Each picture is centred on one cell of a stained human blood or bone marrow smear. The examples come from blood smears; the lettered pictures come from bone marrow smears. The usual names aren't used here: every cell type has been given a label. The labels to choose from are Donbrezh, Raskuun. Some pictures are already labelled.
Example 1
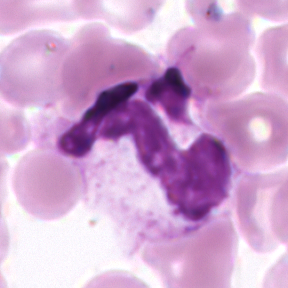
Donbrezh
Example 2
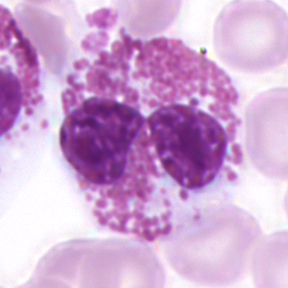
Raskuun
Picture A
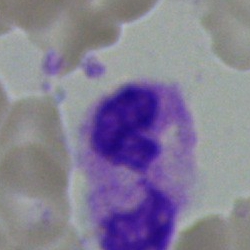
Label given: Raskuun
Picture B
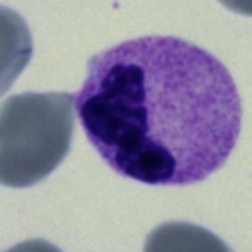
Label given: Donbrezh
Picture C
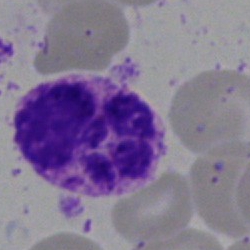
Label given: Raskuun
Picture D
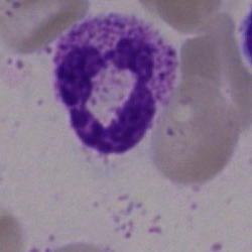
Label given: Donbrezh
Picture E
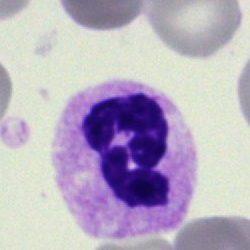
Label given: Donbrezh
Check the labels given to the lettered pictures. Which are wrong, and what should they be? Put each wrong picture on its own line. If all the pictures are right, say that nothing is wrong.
A should be Donbrezh, not Raskuun
C should be Donbrezh, not Raskuun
